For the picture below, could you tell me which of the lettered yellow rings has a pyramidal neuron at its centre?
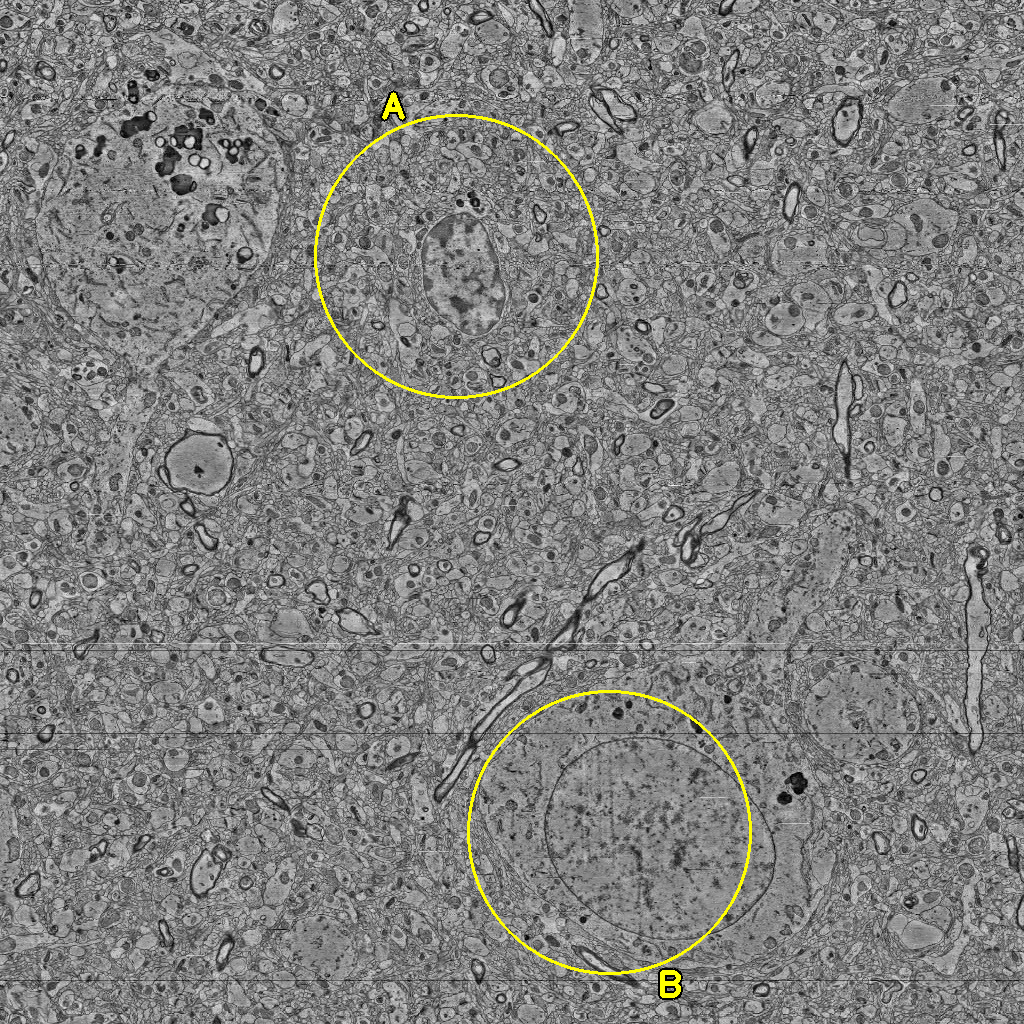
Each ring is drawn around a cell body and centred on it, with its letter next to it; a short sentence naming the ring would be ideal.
Ring B is centred on it.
